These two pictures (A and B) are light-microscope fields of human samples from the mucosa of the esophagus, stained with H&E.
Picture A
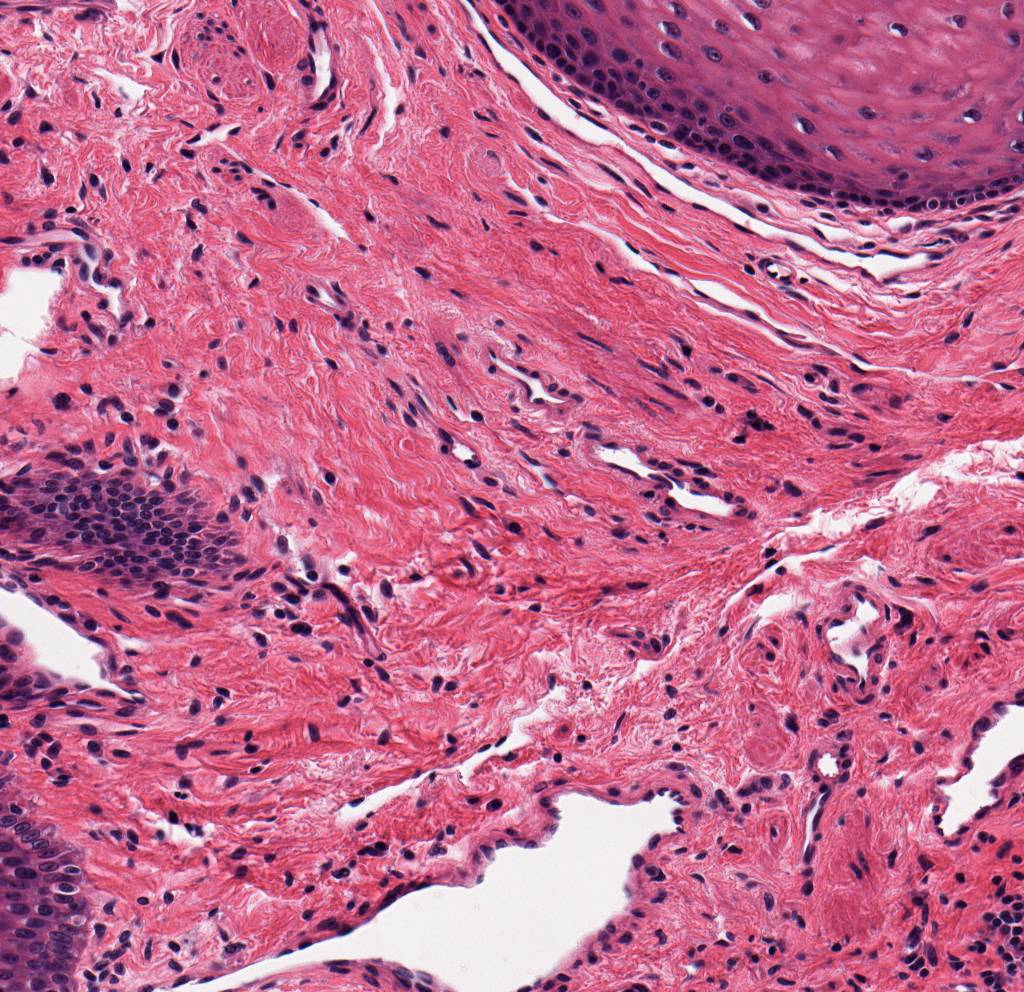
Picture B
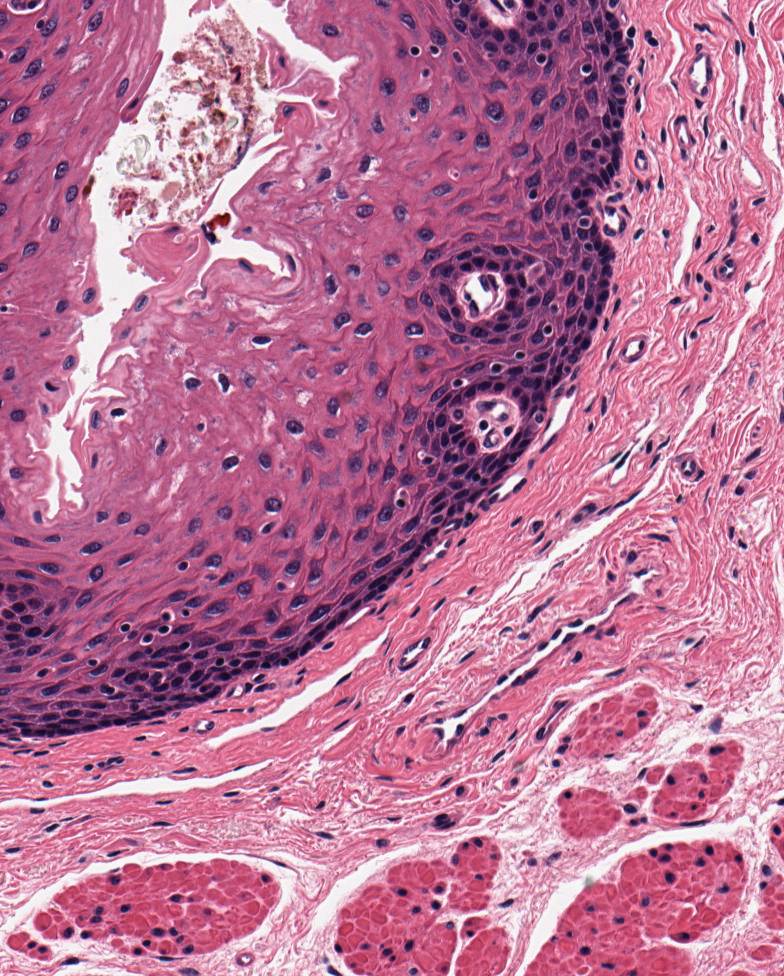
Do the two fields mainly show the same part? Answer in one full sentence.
No, picture A mainly shows loose connective tissue and picture B mainly shows stratified squamous epithelium.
